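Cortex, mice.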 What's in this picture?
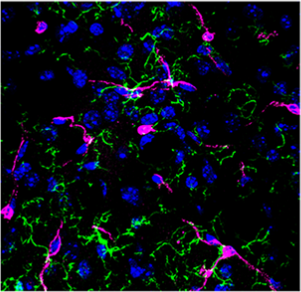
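The microglia have small cell bodies from which fine, branching processes radiate in all directions, each cell occupying its own patch of tissue. The pericytes have compact bodies and long, thin, elongated extensions that run in lines, as if following the course of small capillaries through the tissue. Several magenta cells are visible across the field, with their slender processes stretching between the neighbouring nuclei.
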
